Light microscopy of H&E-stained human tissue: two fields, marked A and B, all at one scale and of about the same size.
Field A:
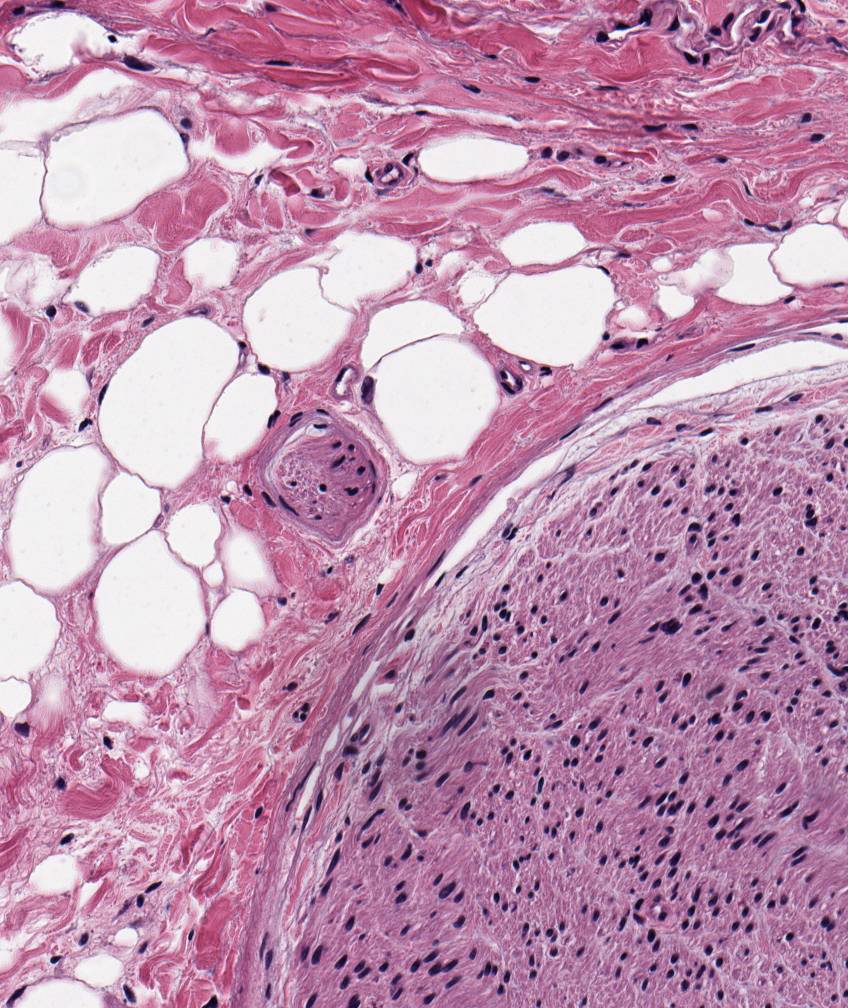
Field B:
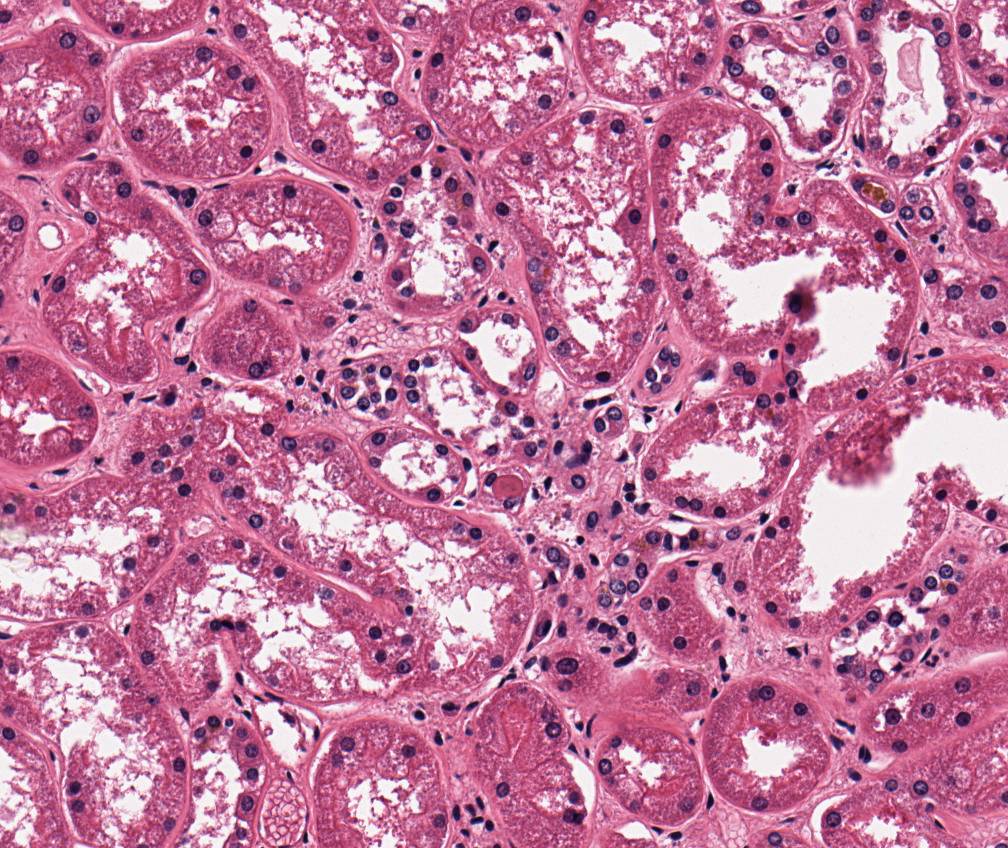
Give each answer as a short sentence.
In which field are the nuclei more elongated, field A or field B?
On the whole the nuclei of field A are more drawn out than those of field B.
